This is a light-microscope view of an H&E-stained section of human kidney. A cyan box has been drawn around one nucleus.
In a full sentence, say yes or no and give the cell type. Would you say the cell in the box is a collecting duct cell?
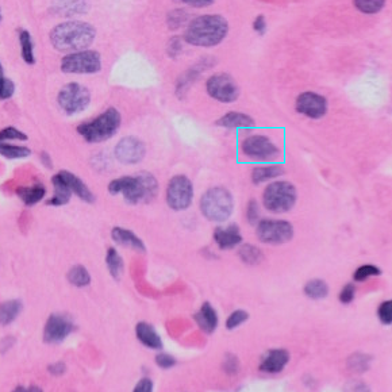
Yes, a collecting duct cell is what the cell in the box is in this section.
